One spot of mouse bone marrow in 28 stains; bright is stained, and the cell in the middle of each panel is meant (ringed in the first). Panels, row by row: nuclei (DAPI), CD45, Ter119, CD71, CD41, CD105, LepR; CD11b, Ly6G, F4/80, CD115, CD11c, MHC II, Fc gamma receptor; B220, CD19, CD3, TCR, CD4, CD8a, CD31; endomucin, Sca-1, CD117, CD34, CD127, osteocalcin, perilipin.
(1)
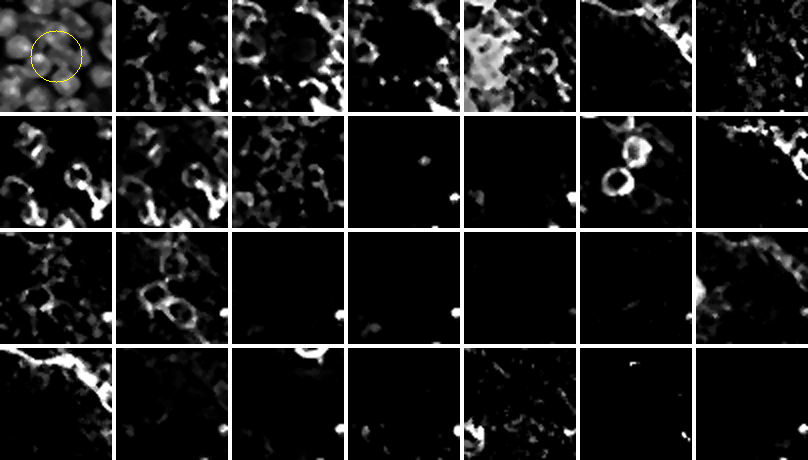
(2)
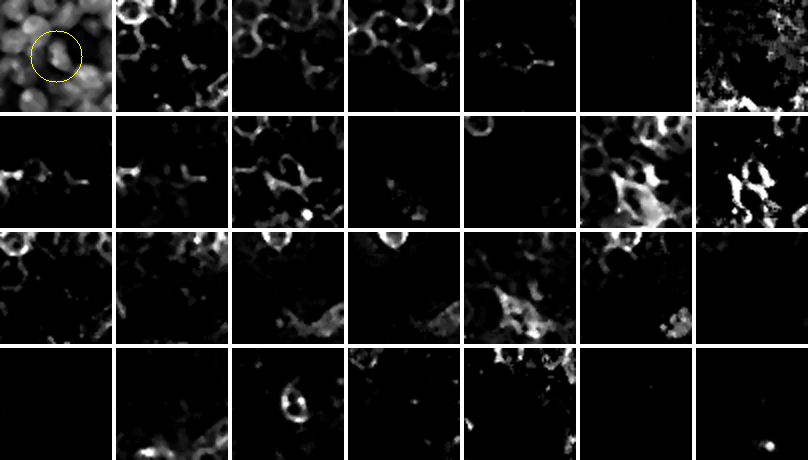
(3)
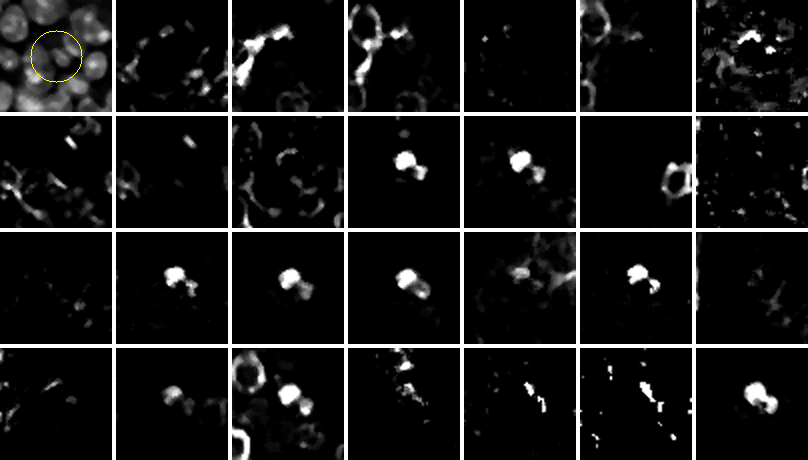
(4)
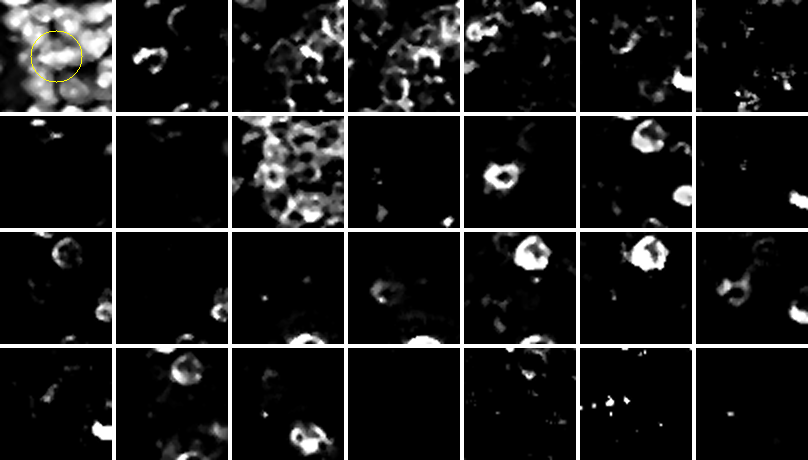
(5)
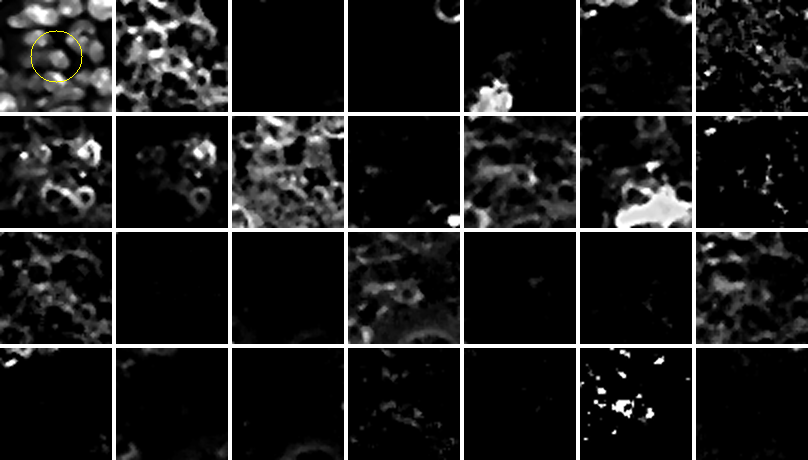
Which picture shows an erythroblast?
Picture 4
